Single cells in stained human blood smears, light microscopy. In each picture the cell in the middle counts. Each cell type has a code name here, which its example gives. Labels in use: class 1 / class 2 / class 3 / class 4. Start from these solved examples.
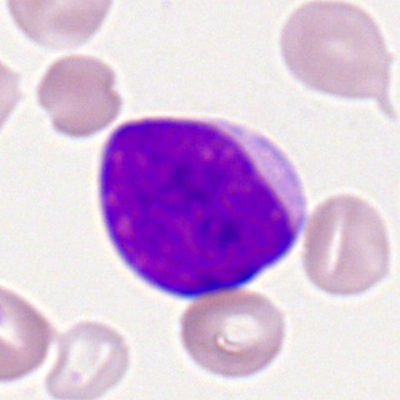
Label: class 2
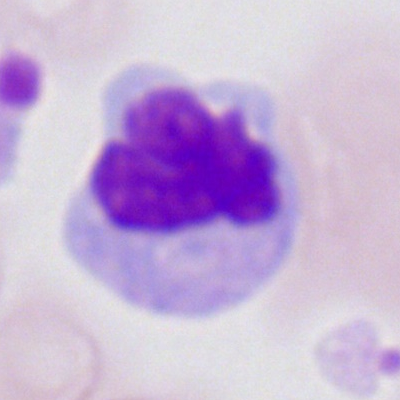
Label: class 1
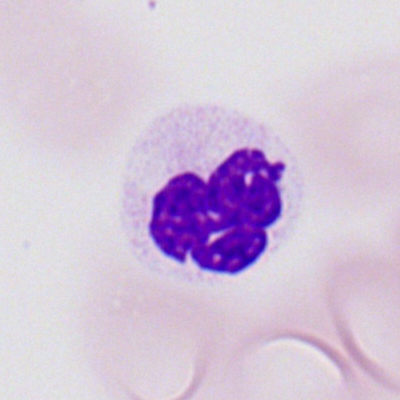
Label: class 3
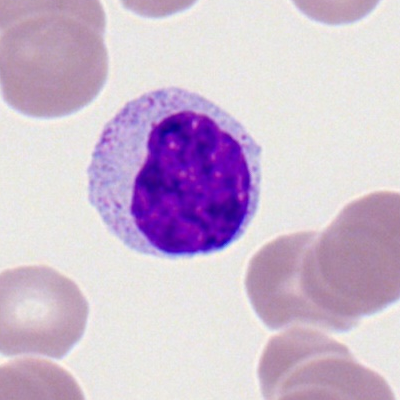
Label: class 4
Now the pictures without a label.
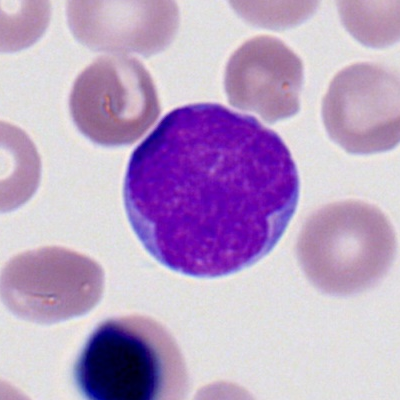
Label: class 2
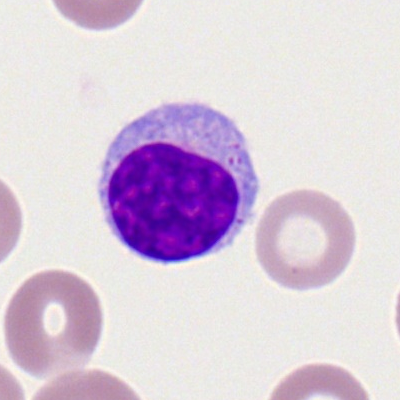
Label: class 4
